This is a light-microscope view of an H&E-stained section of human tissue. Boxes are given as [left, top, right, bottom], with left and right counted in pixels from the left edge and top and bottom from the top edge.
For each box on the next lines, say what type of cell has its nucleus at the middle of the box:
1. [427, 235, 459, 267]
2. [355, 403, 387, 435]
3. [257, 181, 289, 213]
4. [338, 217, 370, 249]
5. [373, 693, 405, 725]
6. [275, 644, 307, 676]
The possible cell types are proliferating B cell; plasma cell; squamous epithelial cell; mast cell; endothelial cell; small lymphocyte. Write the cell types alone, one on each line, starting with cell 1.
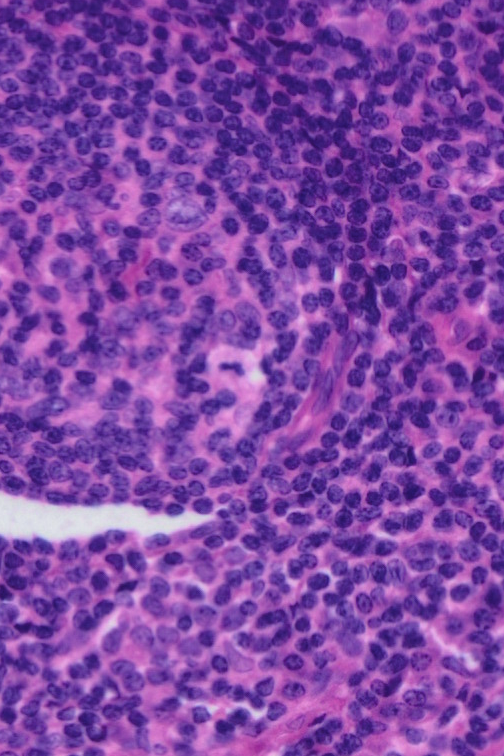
small lymphocyte
small lymphocyte
small lymphocyte
small lymphocyte
plasma cell
plasma cell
